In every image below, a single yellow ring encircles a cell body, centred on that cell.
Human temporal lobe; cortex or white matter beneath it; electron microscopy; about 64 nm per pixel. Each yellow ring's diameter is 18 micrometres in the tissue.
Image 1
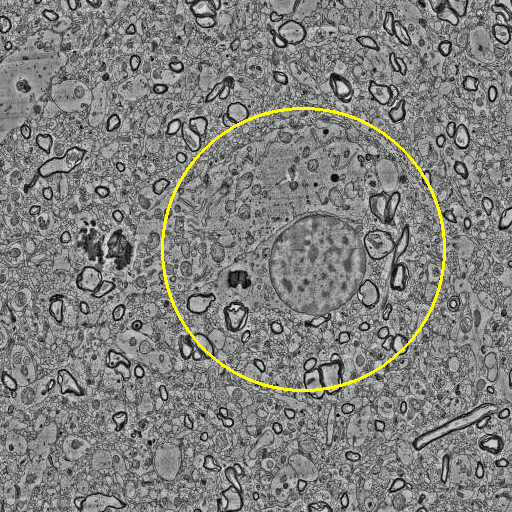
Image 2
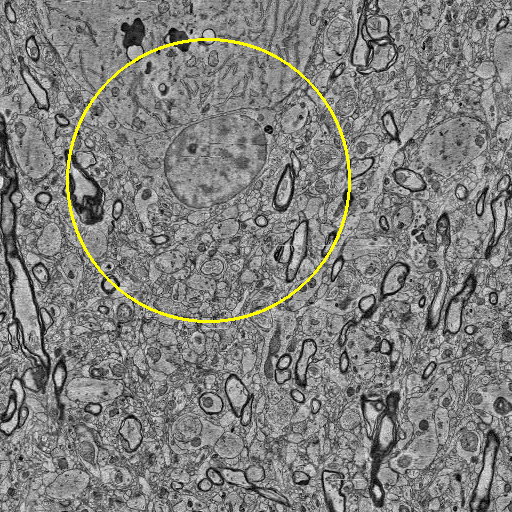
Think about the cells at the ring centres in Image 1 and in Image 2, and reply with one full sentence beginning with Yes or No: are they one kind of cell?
Yes, the cells centred in the rings of Image 1 and Image 2 are one kind of cell.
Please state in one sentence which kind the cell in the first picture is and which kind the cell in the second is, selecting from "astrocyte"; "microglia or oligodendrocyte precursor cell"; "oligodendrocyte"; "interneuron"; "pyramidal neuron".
Each of the two pictures has an oligodendrocyte at the ring centre.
